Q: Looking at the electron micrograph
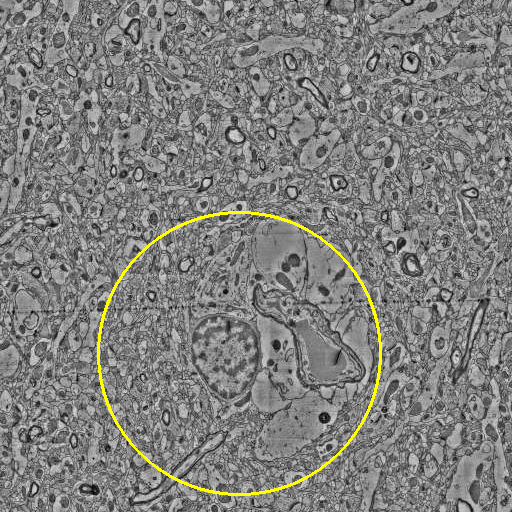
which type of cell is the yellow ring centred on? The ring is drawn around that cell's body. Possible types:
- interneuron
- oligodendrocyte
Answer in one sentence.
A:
The yellow ring is centred on an oligodendrocyte.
